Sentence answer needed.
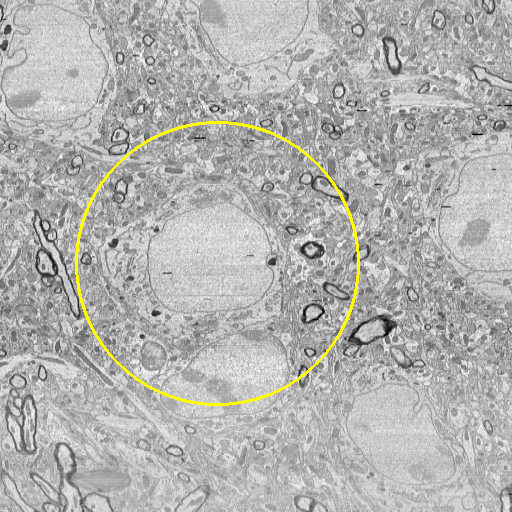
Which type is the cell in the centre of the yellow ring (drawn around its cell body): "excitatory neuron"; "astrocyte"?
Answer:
In the centre of the yellow ring is an excitatory neuron.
